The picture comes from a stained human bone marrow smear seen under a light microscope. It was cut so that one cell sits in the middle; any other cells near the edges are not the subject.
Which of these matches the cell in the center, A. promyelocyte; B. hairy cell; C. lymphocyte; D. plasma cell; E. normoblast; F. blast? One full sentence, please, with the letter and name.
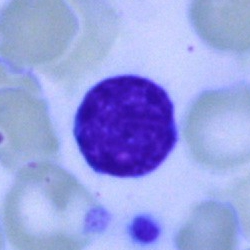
What sits in the middle of the crop is a lymphocyte, and option C is correct.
